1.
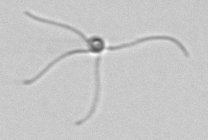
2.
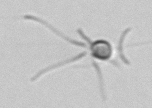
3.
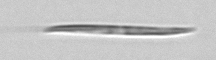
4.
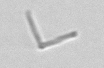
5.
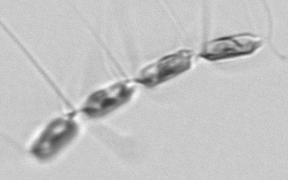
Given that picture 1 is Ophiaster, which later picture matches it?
2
